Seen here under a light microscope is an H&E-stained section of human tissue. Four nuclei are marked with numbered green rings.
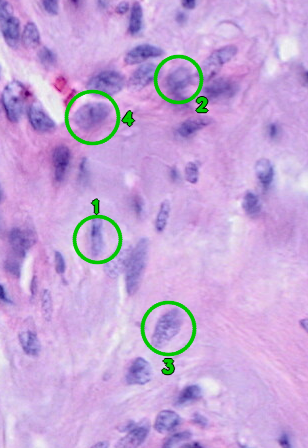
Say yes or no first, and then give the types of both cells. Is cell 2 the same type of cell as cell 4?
Yes, note that cells 2 and 4 are both endothelial cells.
